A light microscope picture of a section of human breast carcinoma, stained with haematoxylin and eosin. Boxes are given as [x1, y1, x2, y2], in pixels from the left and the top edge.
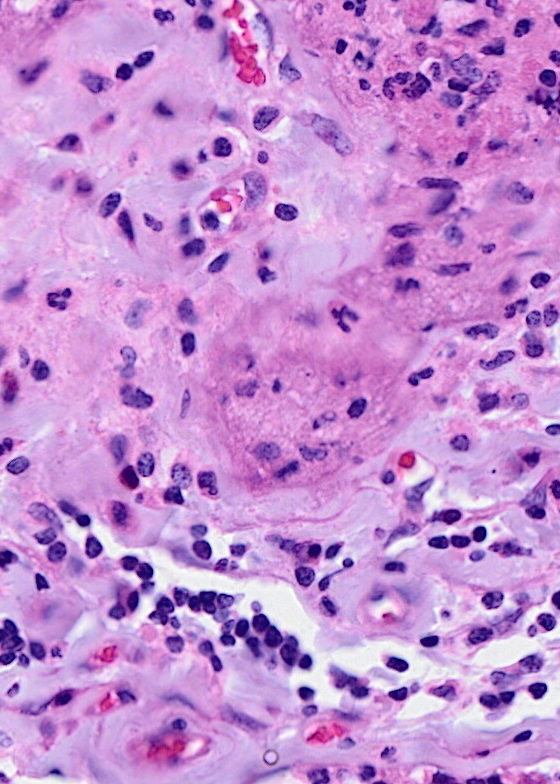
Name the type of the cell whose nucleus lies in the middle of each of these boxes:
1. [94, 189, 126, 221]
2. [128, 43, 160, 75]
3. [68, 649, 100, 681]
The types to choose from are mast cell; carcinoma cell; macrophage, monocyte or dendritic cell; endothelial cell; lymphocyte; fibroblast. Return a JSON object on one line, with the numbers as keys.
{"1": "lymphocyte", "2": "lymphocyte", "3": "endothelial cell"}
